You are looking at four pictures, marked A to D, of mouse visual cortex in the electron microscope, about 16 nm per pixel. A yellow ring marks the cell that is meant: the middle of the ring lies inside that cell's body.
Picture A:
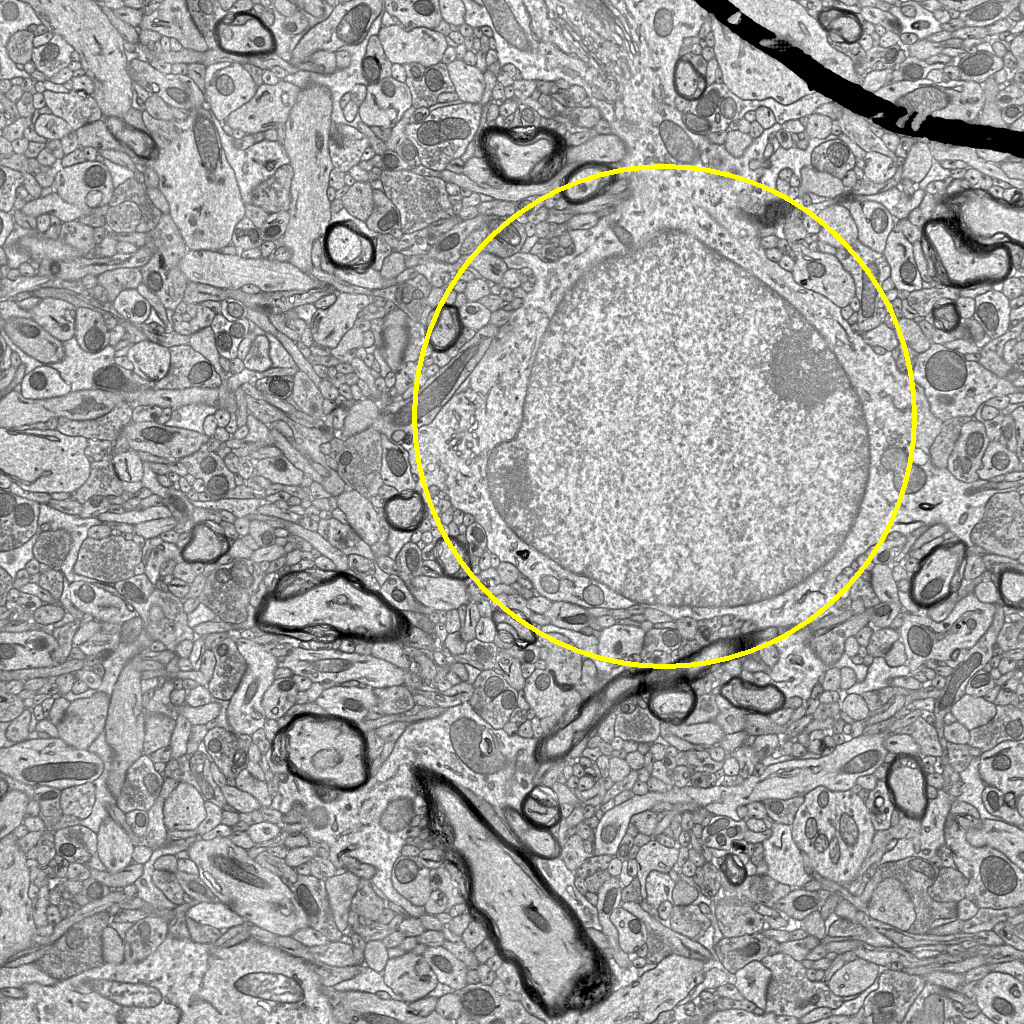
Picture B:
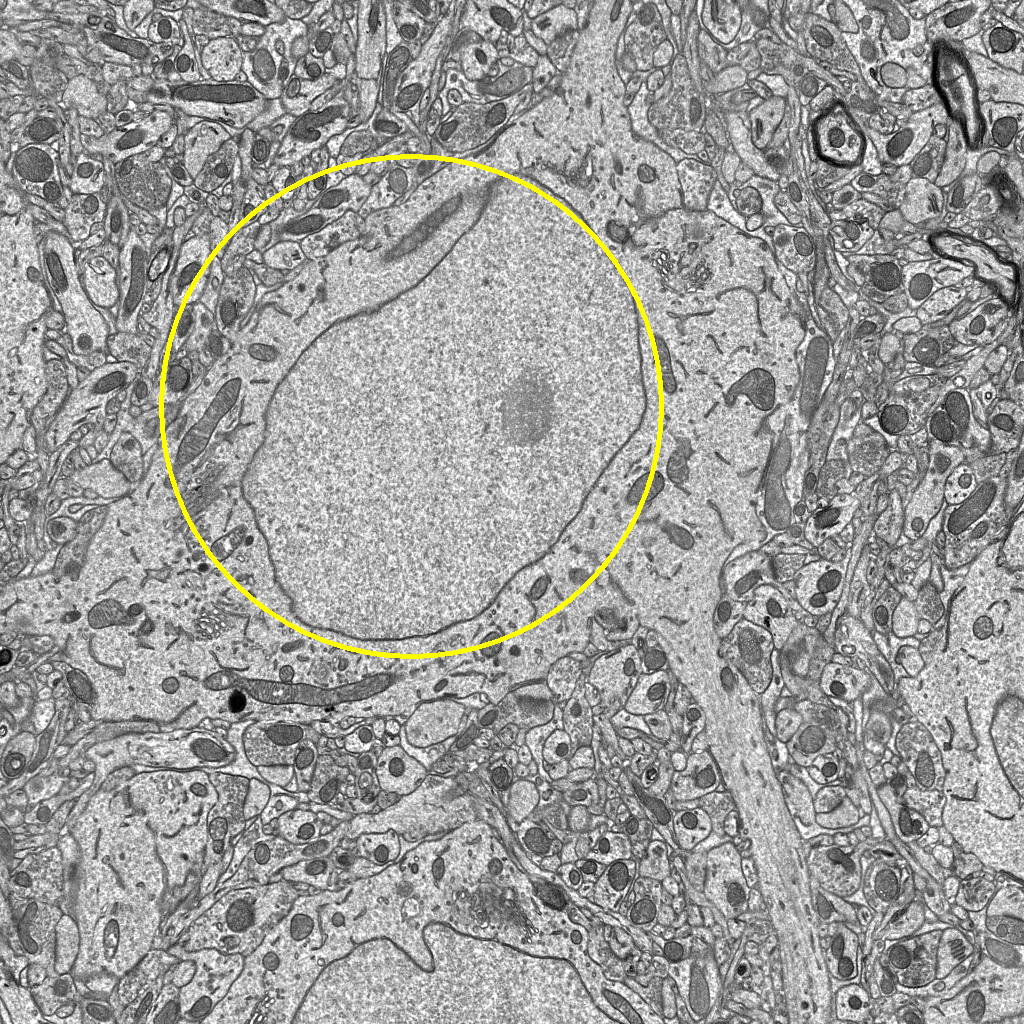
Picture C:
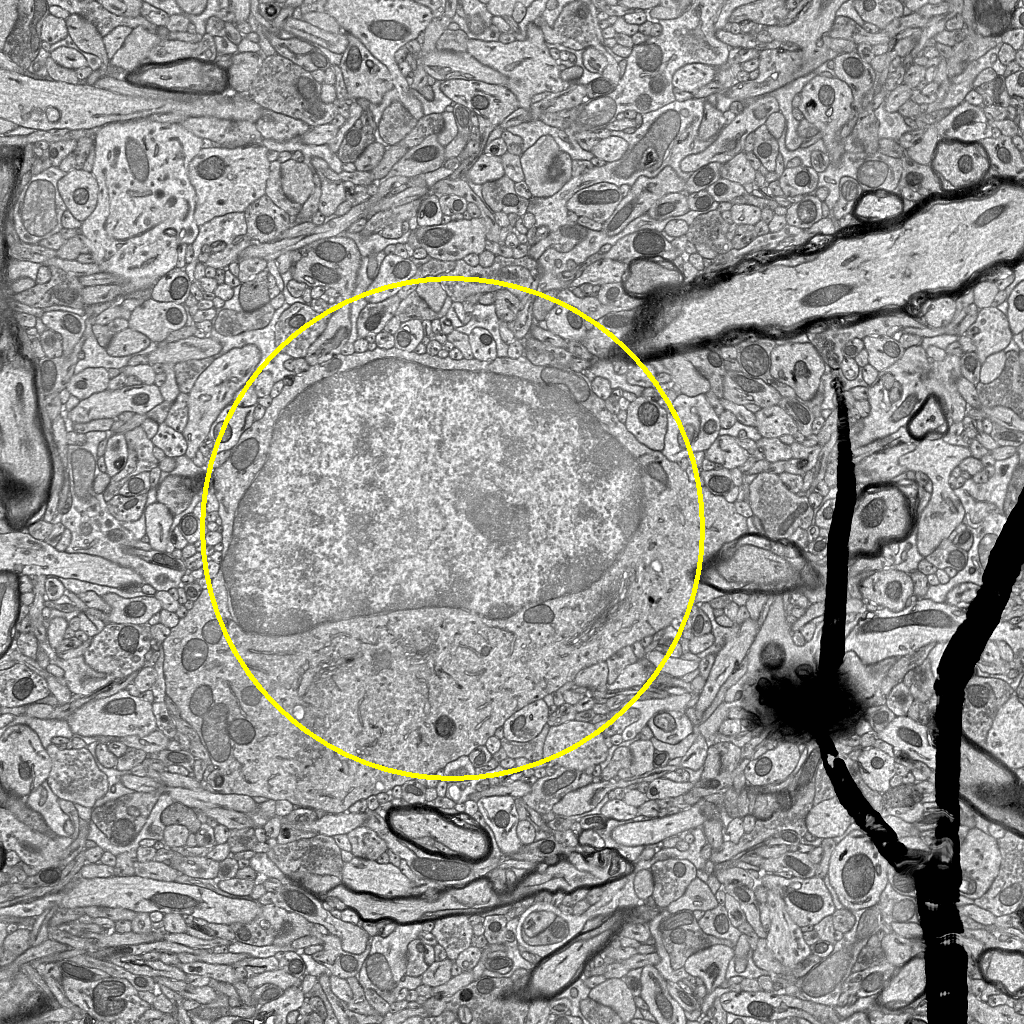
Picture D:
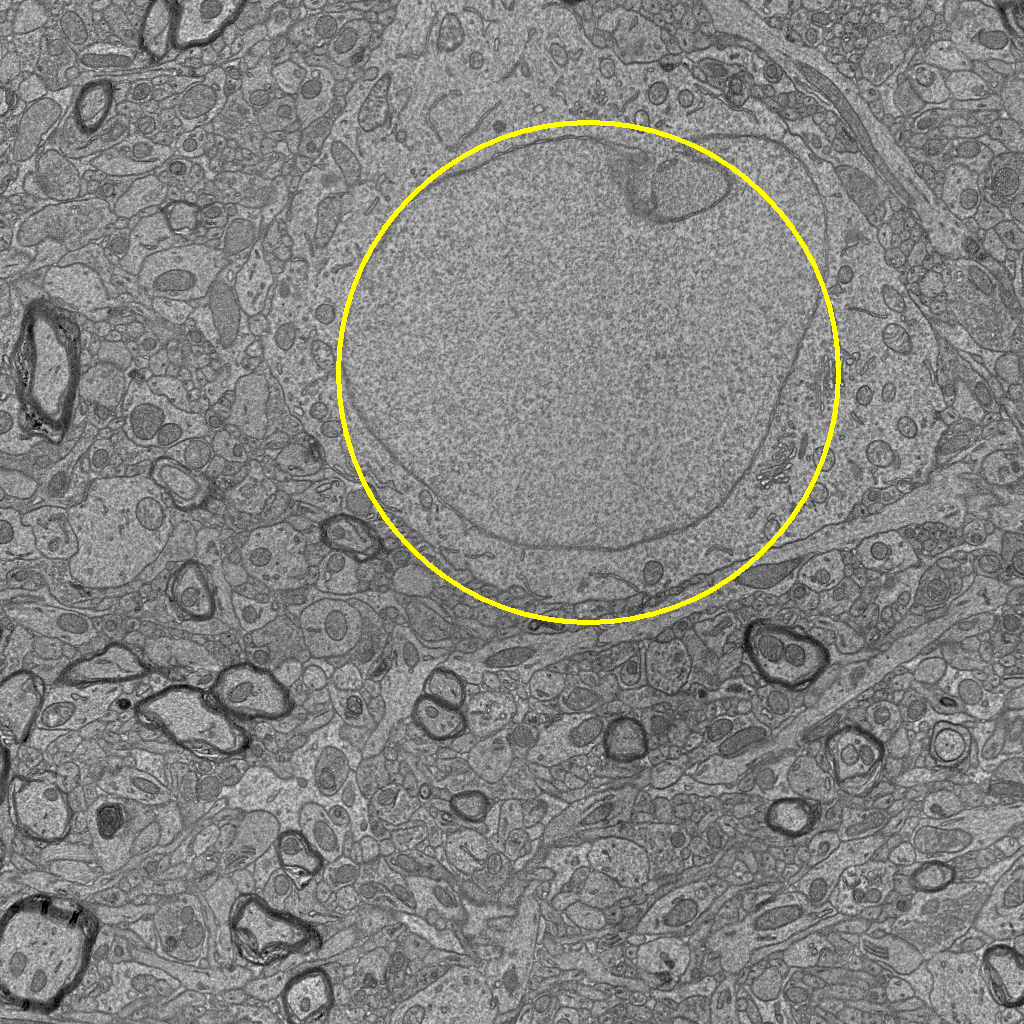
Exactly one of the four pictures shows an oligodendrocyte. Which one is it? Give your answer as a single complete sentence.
The picture with the oligodendrocyte is C.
